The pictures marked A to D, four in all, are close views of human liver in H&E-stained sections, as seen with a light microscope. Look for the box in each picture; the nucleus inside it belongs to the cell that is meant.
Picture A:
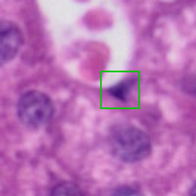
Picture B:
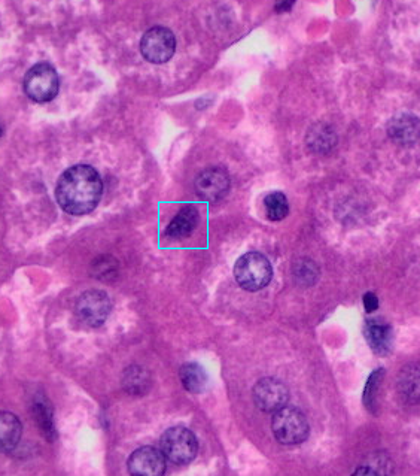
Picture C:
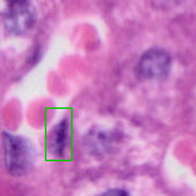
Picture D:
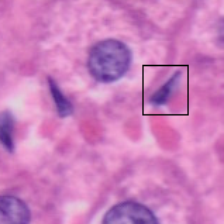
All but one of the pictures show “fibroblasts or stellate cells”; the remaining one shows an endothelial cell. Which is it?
D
